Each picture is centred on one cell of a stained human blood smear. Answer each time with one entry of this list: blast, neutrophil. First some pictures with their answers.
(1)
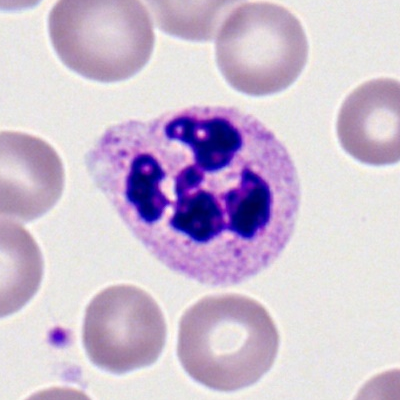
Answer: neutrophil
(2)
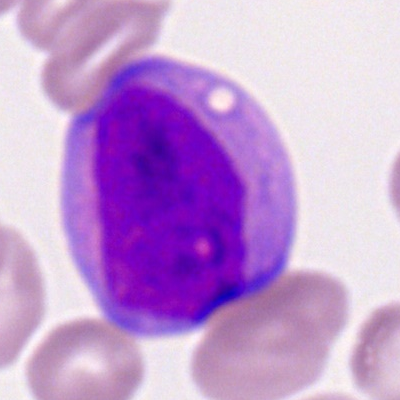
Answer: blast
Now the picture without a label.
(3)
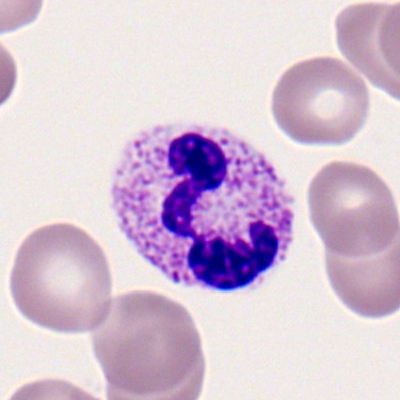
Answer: neutrophil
